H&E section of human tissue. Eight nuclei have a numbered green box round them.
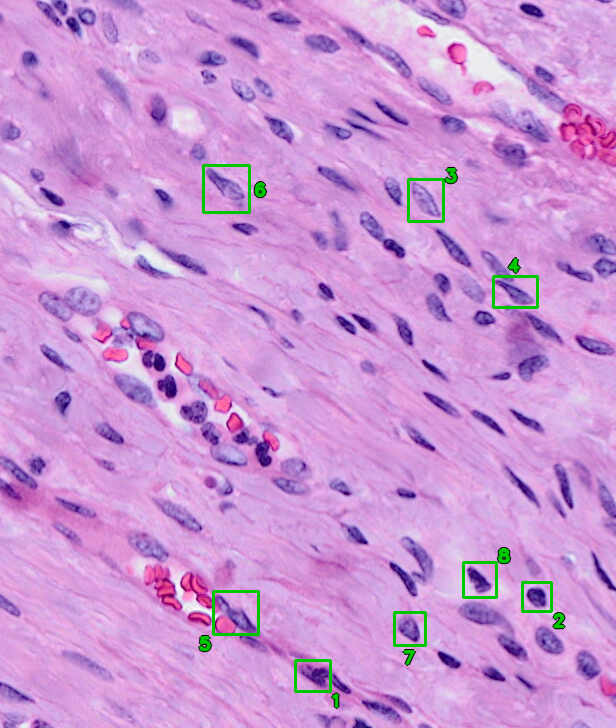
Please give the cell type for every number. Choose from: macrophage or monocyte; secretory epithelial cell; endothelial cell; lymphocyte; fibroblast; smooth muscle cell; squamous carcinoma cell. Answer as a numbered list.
1. endothelial cell
2. lymphocyte
3. fibroblast
4. fibroblast
5. endothelial cell
6. fibroblast
7. fibroblast
8. lymphocyte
